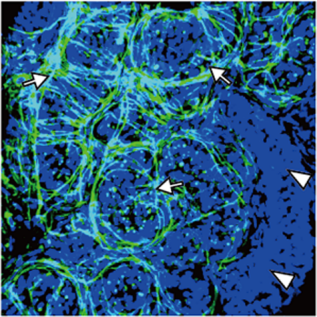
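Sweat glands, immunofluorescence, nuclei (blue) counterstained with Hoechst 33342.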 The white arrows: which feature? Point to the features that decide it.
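Nerve fibers. Thin green threads run in a network over round tubules. The threads encircle the tubule profiles.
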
